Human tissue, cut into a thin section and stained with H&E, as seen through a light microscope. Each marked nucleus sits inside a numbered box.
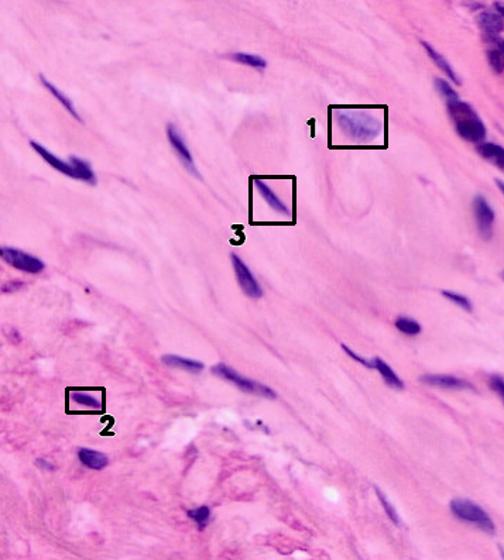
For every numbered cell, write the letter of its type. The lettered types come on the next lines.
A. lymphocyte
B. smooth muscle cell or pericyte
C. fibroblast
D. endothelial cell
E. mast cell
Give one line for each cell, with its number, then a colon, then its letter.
1: C
2: B
3: C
